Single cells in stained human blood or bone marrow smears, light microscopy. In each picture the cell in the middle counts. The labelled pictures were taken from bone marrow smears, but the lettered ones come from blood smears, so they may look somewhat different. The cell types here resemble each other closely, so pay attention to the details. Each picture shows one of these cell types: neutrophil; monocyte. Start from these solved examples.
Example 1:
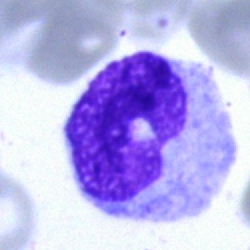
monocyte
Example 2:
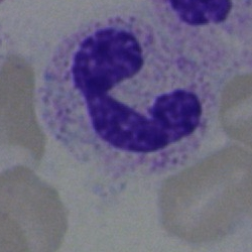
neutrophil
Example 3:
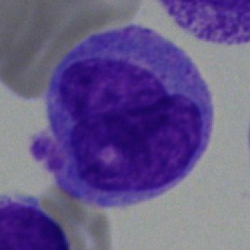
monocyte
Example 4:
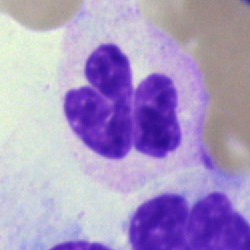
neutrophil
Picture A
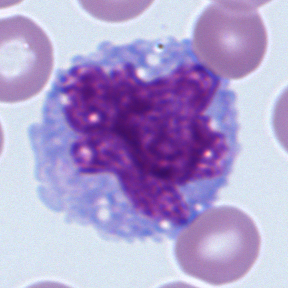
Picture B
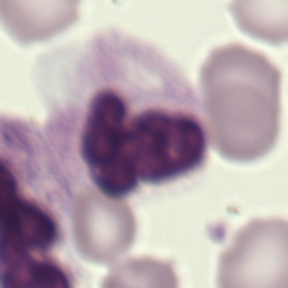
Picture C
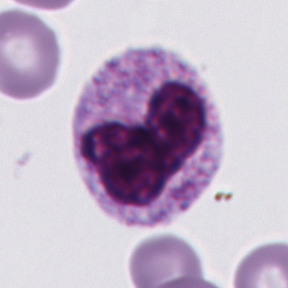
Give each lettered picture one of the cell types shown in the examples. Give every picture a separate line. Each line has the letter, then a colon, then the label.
A: monocyte
B: neutrophil
C: neutrophil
